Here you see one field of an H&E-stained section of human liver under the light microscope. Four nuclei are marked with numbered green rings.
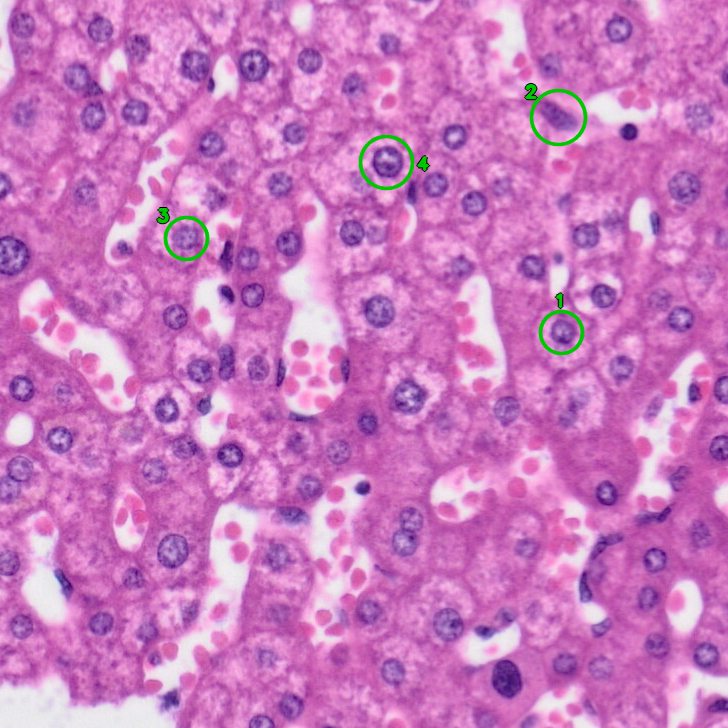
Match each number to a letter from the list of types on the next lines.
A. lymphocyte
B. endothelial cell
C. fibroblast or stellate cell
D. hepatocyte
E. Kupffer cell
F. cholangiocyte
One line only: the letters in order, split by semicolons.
D; E; D; D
